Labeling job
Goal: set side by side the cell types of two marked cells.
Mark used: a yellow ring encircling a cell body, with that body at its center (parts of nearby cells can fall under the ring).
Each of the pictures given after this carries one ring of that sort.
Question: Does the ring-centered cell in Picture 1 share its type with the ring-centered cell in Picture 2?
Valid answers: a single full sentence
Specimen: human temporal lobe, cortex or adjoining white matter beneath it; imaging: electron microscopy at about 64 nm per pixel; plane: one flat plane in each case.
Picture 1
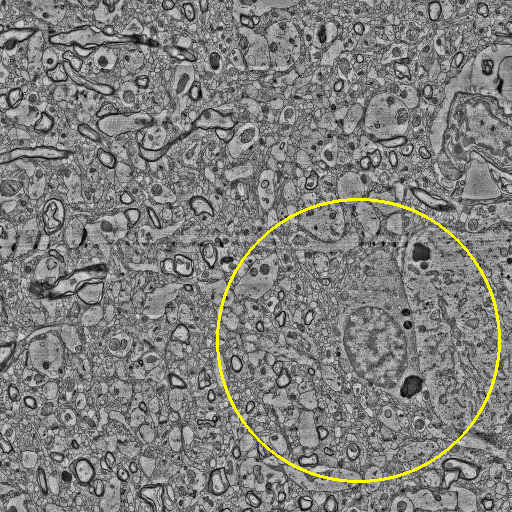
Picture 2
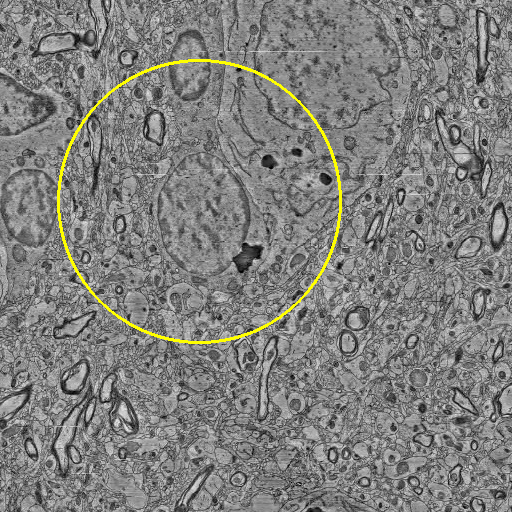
Yes, in Pictures 1 and 2 the cells at the ring centers share one type.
